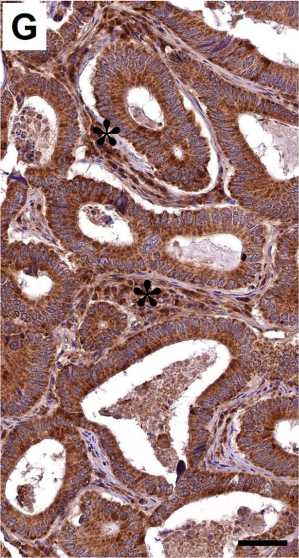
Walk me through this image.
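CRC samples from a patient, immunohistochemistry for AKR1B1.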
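This colorectal carcinoma shows irregular, closely packed glands lined by tall cancer cells with crowded, stratified nuclei and brown-stained cytoplasm. Some gland lumina contain debris. Little stroma separates the glands, giving a back-to-back arrangement.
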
